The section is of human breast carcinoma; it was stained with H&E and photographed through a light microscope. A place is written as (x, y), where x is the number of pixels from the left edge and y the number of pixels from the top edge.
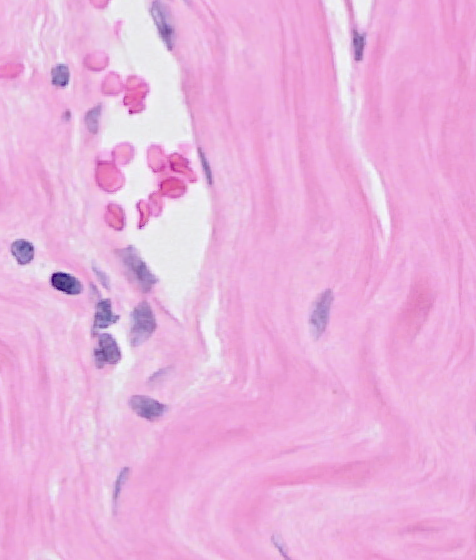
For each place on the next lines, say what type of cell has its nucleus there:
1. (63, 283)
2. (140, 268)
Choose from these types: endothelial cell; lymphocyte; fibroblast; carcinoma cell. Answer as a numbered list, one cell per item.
1. lymphocyte
2. endothelial cell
